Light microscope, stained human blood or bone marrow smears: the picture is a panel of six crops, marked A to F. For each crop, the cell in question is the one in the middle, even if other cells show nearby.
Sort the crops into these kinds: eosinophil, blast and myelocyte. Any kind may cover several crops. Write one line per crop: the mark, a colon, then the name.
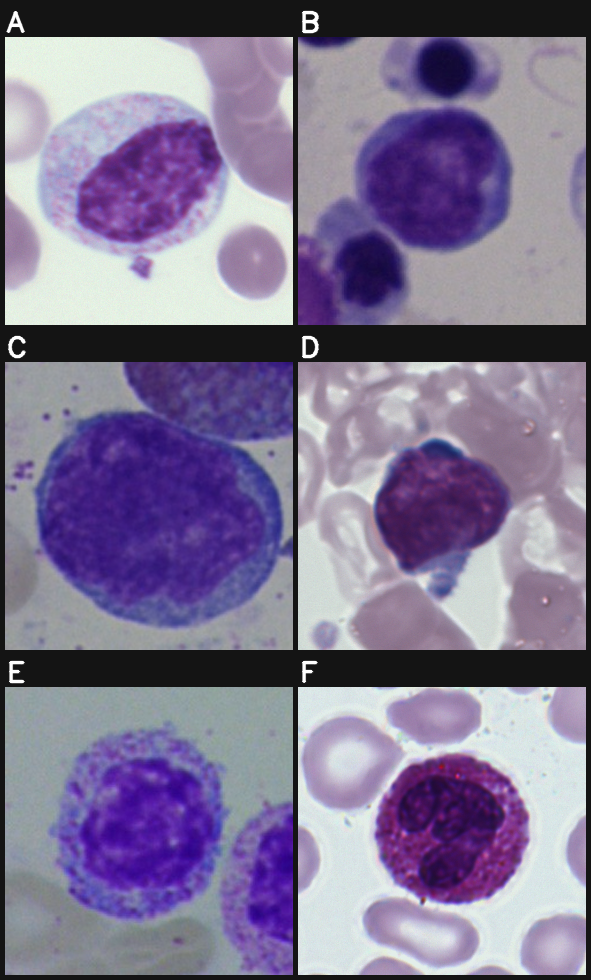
A: myelocyte
B: blast
C: blast
D: blast
E: myelocyte
F: eosinophil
